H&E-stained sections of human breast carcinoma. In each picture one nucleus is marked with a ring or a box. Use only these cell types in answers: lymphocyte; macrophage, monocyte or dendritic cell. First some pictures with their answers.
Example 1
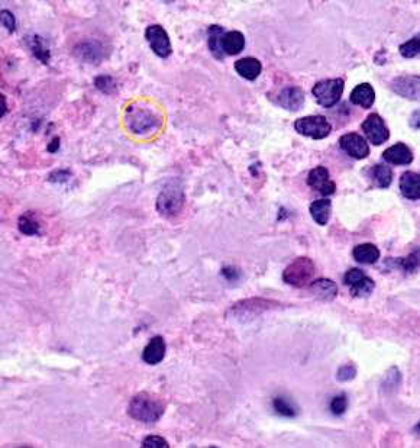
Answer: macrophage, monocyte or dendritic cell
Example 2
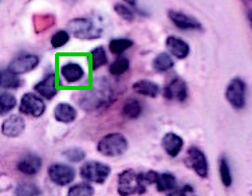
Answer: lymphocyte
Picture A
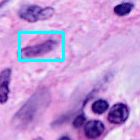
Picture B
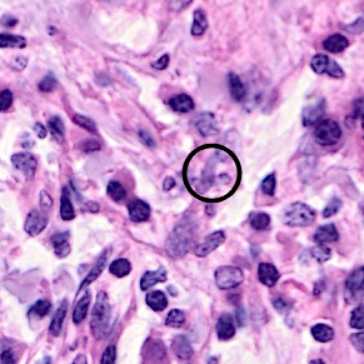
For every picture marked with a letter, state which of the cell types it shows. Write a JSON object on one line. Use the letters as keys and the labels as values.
{"A": "macrophage, monocyte or dendritic cell", "B": "macrophage, monocyte or dendritic cell"}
